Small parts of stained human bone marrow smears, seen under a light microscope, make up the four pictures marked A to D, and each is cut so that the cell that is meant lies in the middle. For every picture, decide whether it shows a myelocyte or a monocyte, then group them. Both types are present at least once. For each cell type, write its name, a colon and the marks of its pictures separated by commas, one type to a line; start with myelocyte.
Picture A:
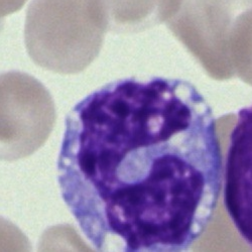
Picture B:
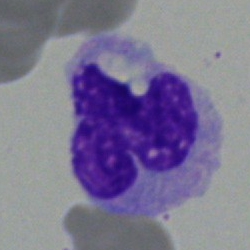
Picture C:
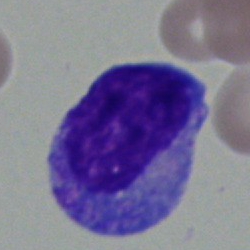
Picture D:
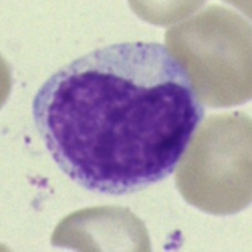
myelocyte: C, D
monocyte: A, B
